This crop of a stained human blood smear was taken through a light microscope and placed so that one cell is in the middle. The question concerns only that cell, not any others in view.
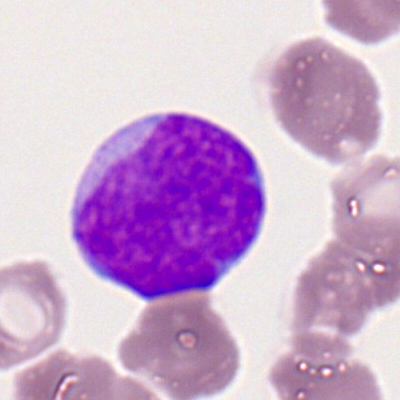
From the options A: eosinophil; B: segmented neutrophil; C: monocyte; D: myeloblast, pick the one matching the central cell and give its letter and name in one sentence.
According to option D, which is correct, the cell in the middle is a myeloblast.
